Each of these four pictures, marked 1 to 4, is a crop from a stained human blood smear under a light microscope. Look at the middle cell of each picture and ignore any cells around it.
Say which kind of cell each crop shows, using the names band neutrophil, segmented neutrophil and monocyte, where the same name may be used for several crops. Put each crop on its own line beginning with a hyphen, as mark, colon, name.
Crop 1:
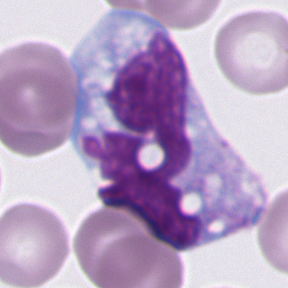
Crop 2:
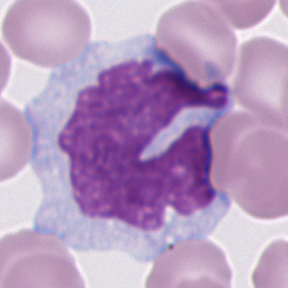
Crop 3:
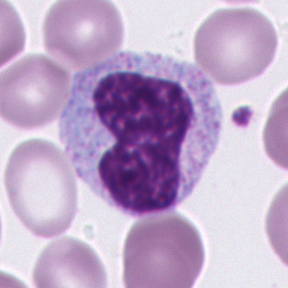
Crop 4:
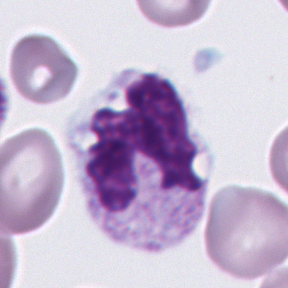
- 1: monocyte
- 2: monocyte
- 3: band neutrophil
- 4: segmented neutrophil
